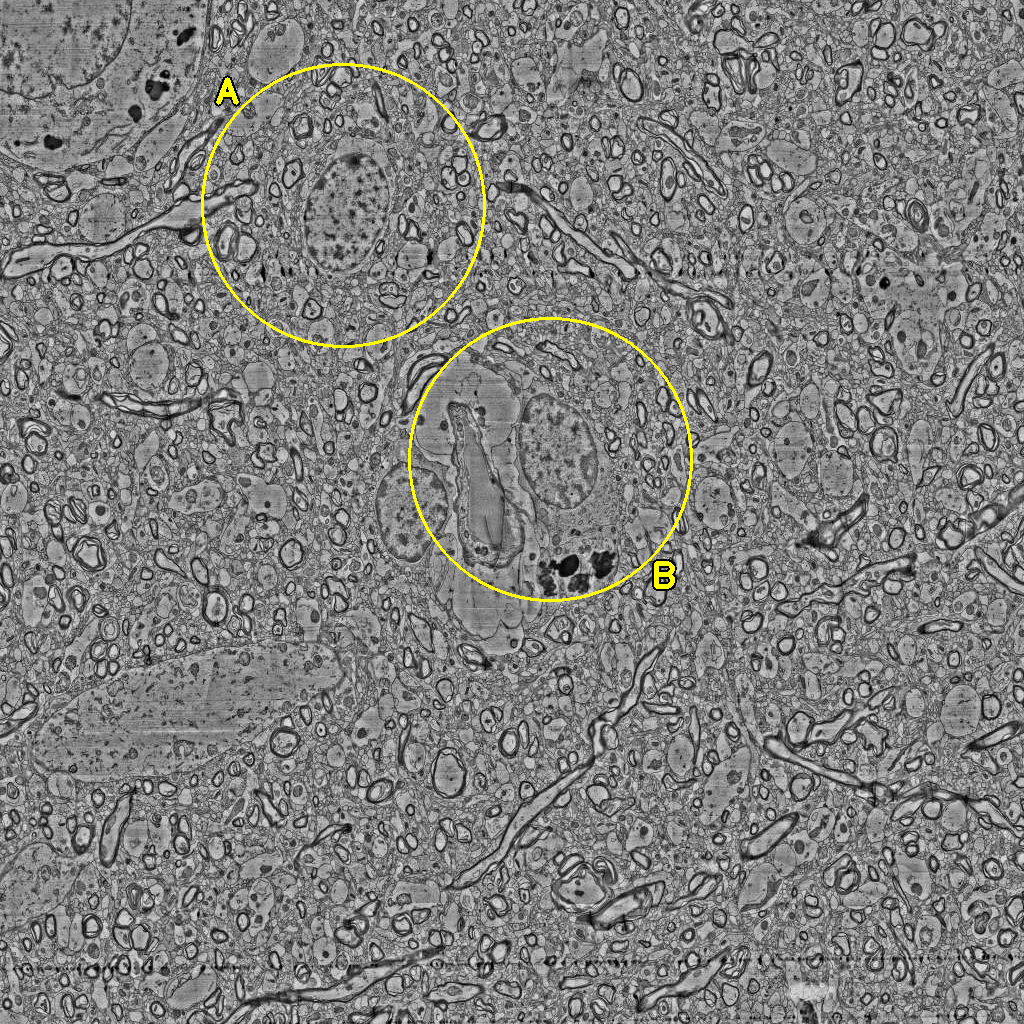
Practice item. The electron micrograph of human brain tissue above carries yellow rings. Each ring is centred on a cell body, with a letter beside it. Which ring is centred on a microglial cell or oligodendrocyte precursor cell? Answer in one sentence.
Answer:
Ring A is centred on it.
